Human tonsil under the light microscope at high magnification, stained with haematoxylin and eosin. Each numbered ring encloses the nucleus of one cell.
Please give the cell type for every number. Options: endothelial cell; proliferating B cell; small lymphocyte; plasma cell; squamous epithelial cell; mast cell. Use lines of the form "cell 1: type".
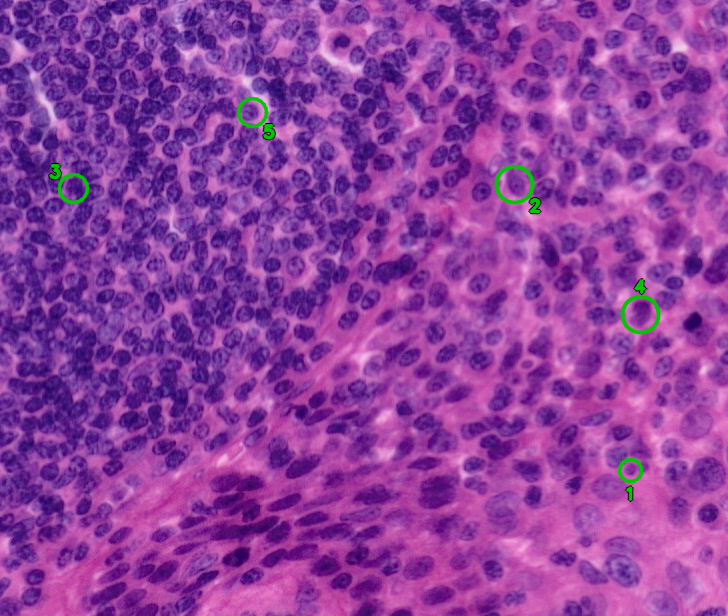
cell 1: squamous epithelial cell
cell 2: squamous epithelial cell
cell 3: small lymphocyte
cell 4: squamous epithelial cell
cell 5: small lymphocyte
